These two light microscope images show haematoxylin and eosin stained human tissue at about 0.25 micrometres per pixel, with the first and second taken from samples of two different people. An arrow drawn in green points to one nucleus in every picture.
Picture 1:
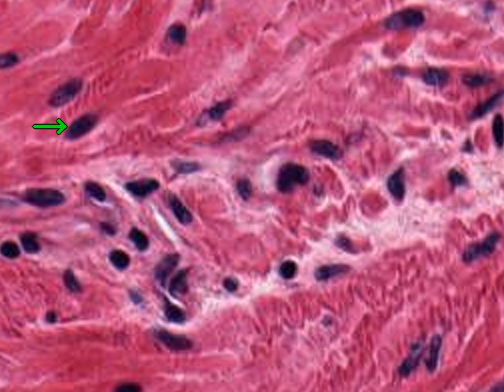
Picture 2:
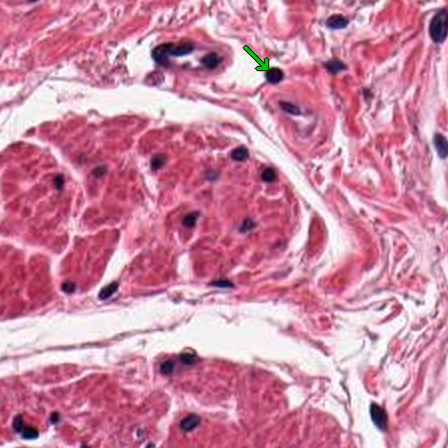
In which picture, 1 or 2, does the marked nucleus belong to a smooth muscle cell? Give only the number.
1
